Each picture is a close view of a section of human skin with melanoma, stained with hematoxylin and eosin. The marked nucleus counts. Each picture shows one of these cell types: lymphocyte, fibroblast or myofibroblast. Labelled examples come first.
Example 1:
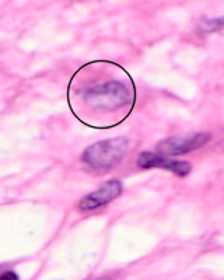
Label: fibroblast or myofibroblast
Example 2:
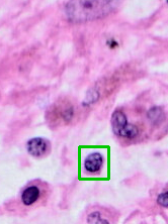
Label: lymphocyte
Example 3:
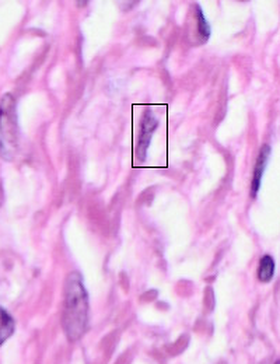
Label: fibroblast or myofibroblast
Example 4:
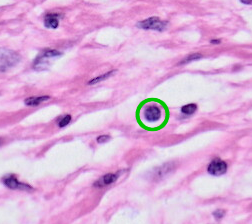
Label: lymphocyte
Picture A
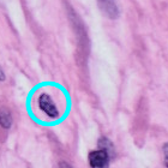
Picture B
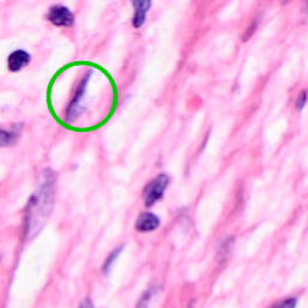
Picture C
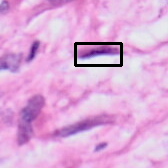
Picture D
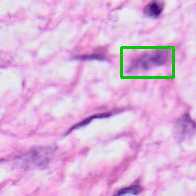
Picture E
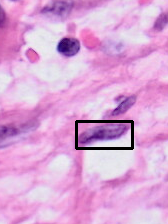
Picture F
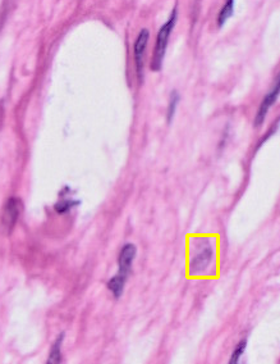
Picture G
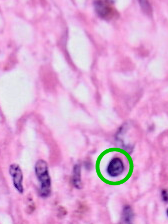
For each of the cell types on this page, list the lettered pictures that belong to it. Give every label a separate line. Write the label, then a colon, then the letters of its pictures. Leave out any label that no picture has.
lymphocyte: A, G
fibroblast or myofibroblast: B, C, D, E, F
